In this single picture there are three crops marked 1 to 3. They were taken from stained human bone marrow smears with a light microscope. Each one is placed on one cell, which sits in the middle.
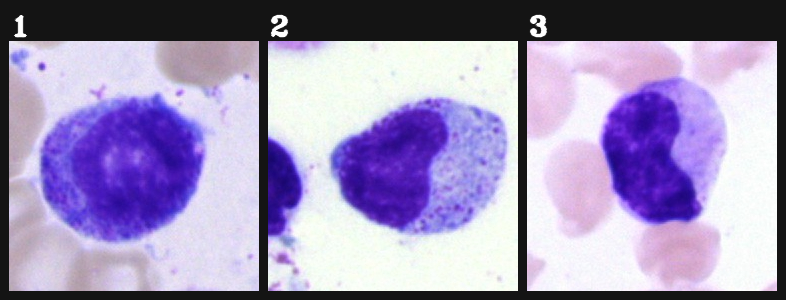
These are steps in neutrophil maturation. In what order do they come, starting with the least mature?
1, 2, 3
